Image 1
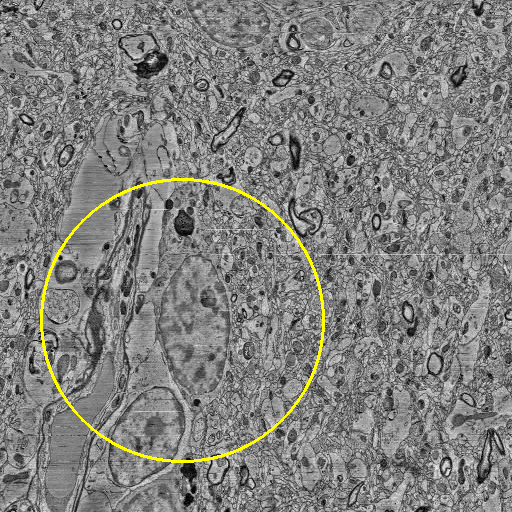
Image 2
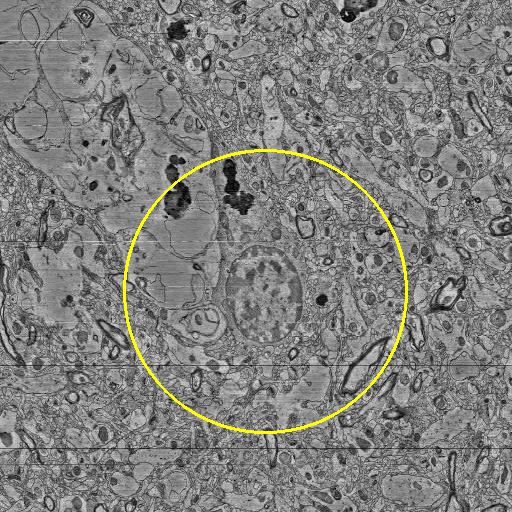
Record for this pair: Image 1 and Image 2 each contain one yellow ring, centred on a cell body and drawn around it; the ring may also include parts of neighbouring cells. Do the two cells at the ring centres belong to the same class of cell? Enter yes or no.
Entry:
yes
